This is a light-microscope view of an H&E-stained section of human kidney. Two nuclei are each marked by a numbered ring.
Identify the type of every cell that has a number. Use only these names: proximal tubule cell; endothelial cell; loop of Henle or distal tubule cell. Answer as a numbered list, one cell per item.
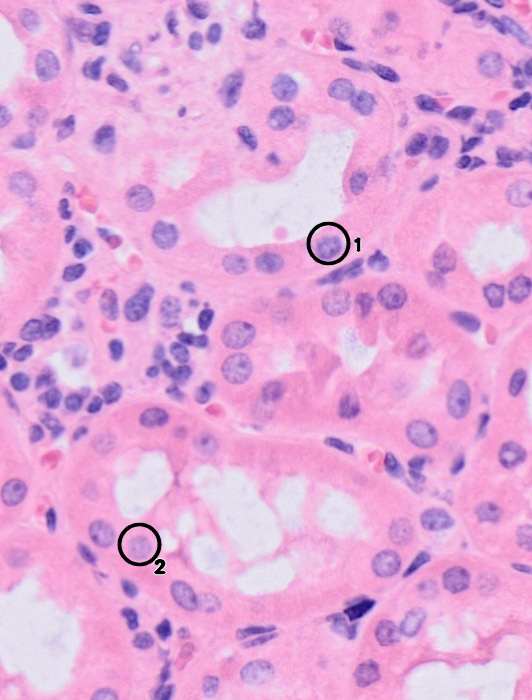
1. loop of Henle or distal tubule cell
2. proximal tubule cell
